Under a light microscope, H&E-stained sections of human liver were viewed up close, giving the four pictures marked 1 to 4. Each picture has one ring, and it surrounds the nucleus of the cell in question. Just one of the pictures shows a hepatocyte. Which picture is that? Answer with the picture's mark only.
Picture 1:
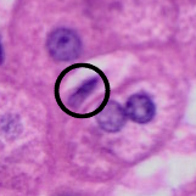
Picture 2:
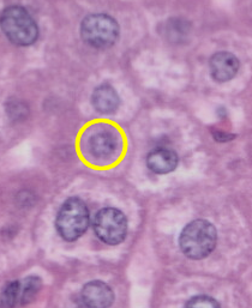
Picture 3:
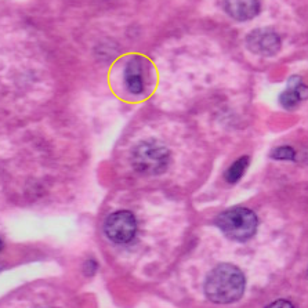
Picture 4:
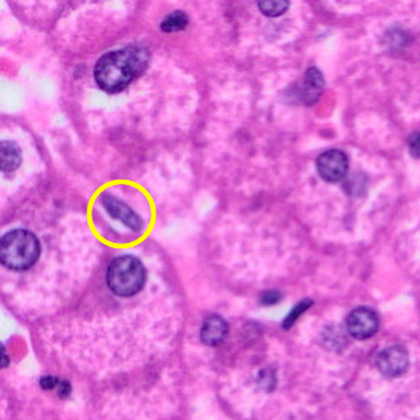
2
